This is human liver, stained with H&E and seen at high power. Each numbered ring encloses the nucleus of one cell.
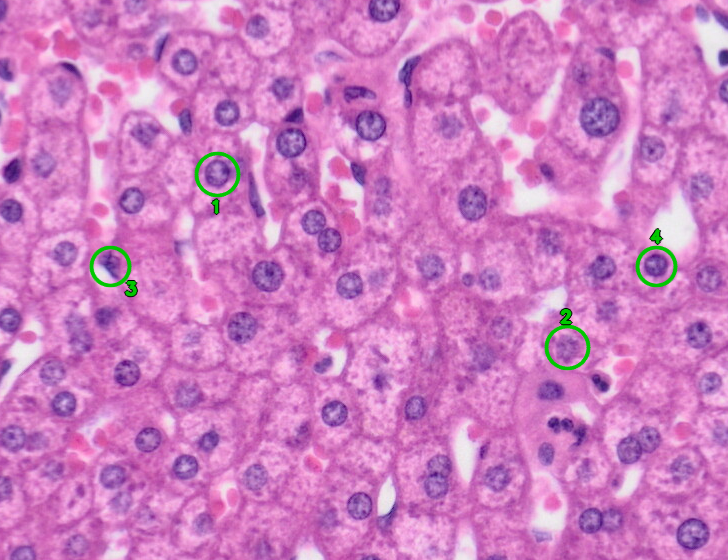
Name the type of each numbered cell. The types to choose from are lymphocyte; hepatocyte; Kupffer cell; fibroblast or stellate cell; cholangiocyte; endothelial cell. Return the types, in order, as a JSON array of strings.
["hepatocyte", "hepatocyte", "endothelial cell", "hepatocyte"]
